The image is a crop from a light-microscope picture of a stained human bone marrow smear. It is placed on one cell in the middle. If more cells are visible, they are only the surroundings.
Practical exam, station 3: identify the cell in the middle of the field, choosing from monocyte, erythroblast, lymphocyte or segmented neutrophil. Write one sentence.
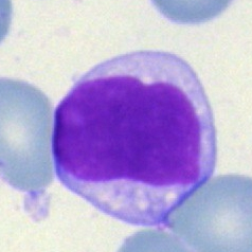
Within this crop, a lymphocyte occupies the central position.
